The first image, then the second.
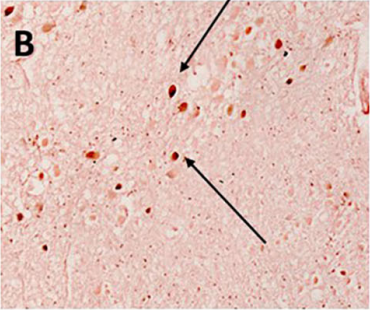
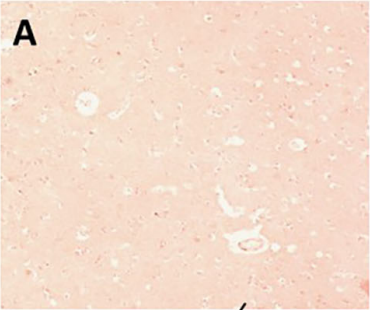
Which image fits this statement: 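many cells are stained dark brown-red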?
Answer: The first image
